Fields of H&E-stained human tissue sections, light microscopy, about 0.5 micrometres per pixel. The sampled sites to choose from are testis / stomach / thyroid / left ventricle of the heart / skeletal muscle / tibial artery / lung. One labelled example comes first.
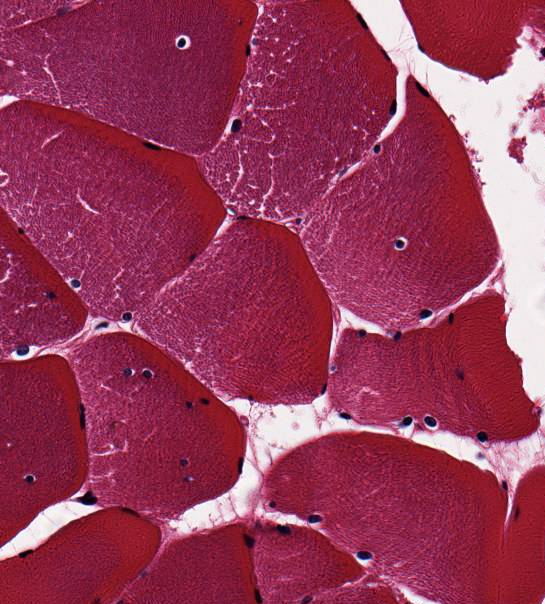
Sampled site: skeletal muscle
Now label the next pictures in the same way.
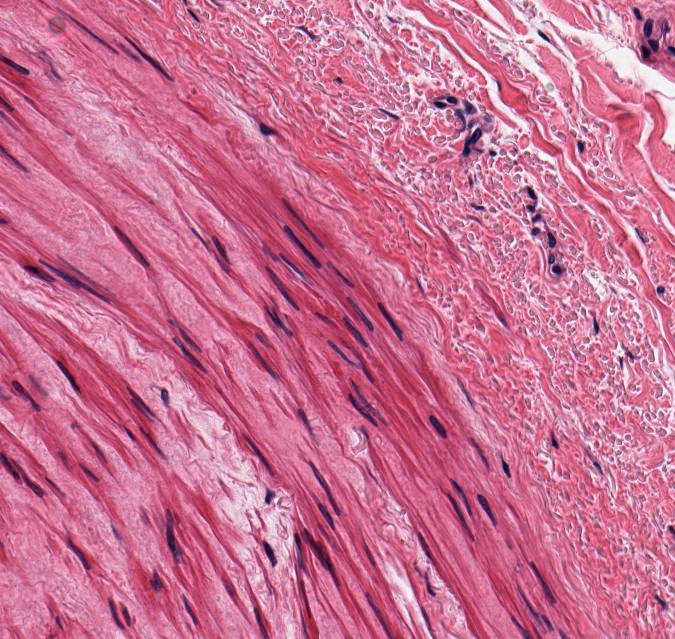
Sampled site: tibial artery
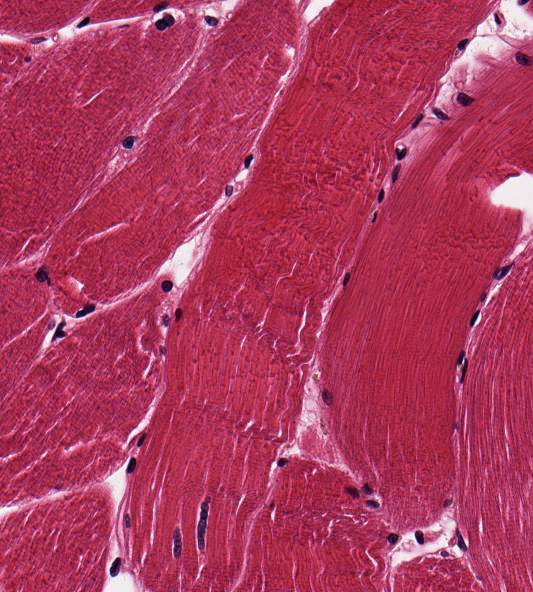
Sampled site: skeletal muscle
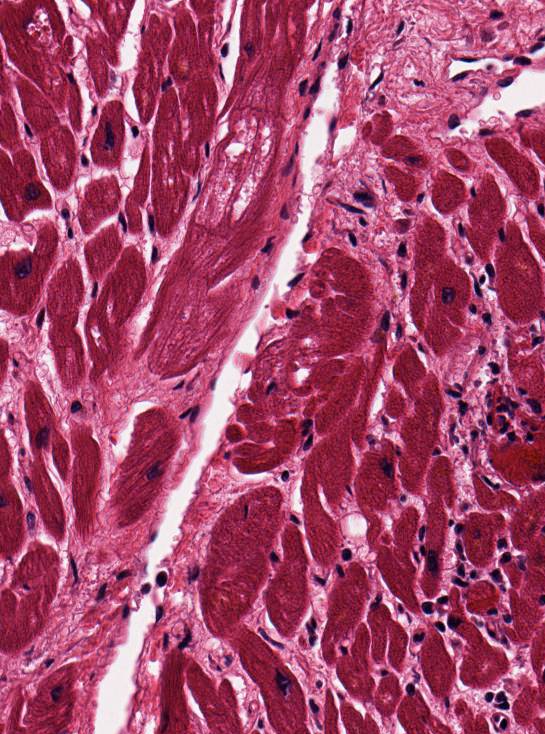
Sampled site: left ventricle of the heart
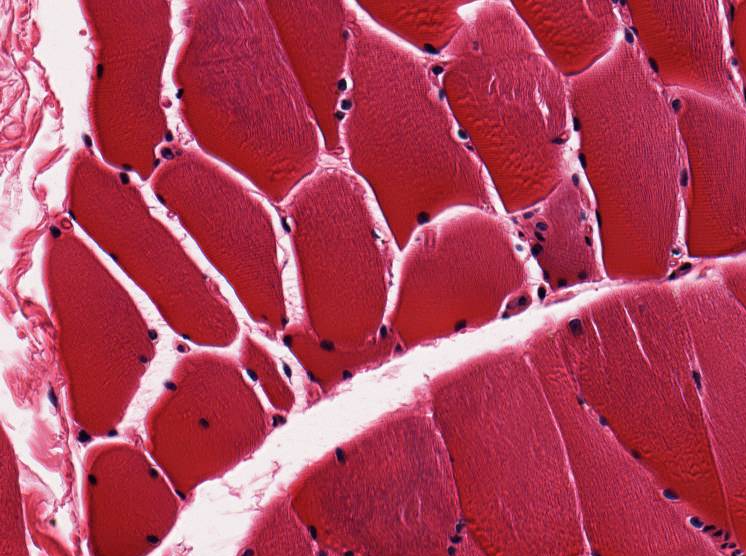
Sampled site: skeletal muscle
